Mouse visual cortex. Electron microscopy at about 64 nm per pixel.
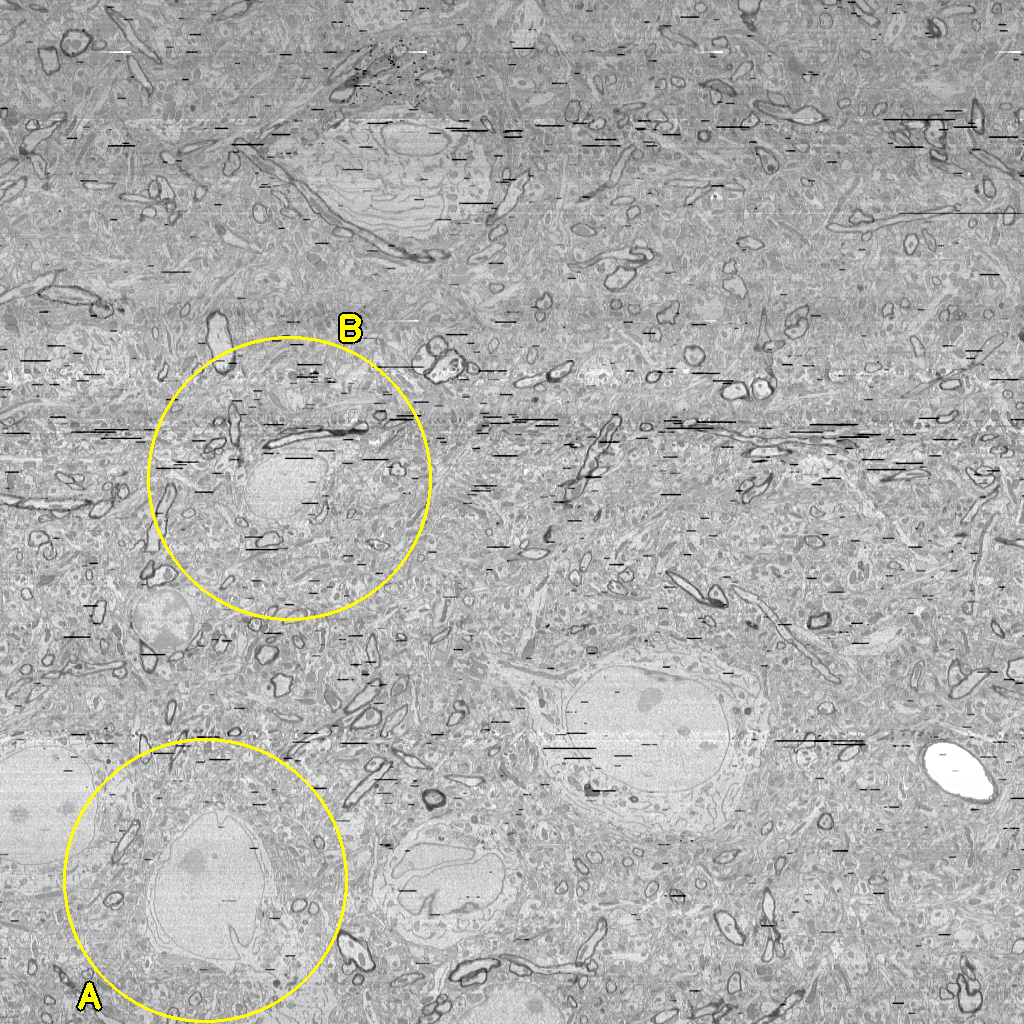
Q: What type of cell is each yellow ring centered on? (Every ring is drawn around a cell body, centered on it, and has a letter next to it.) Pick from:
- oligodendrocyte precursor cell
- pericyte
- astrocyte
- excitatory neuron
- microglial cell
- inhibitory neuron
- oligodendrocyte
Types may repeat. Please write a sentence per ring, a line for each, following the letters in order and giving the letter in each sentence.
The cell body centered in ring A belongs to an excitatory neuron.
The cell body centered in ring B belongs to an astrocyte.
